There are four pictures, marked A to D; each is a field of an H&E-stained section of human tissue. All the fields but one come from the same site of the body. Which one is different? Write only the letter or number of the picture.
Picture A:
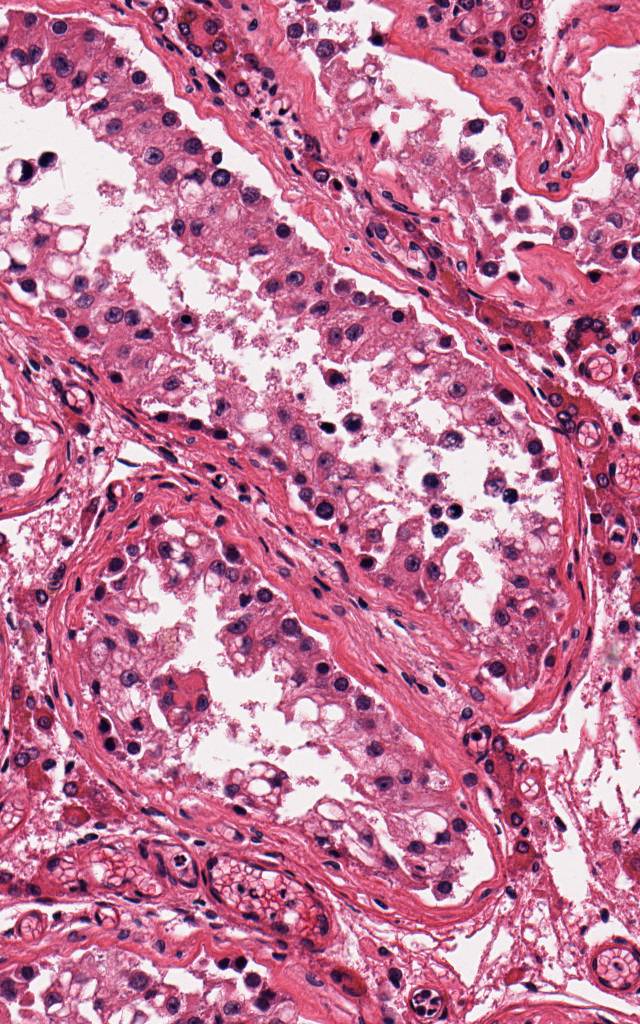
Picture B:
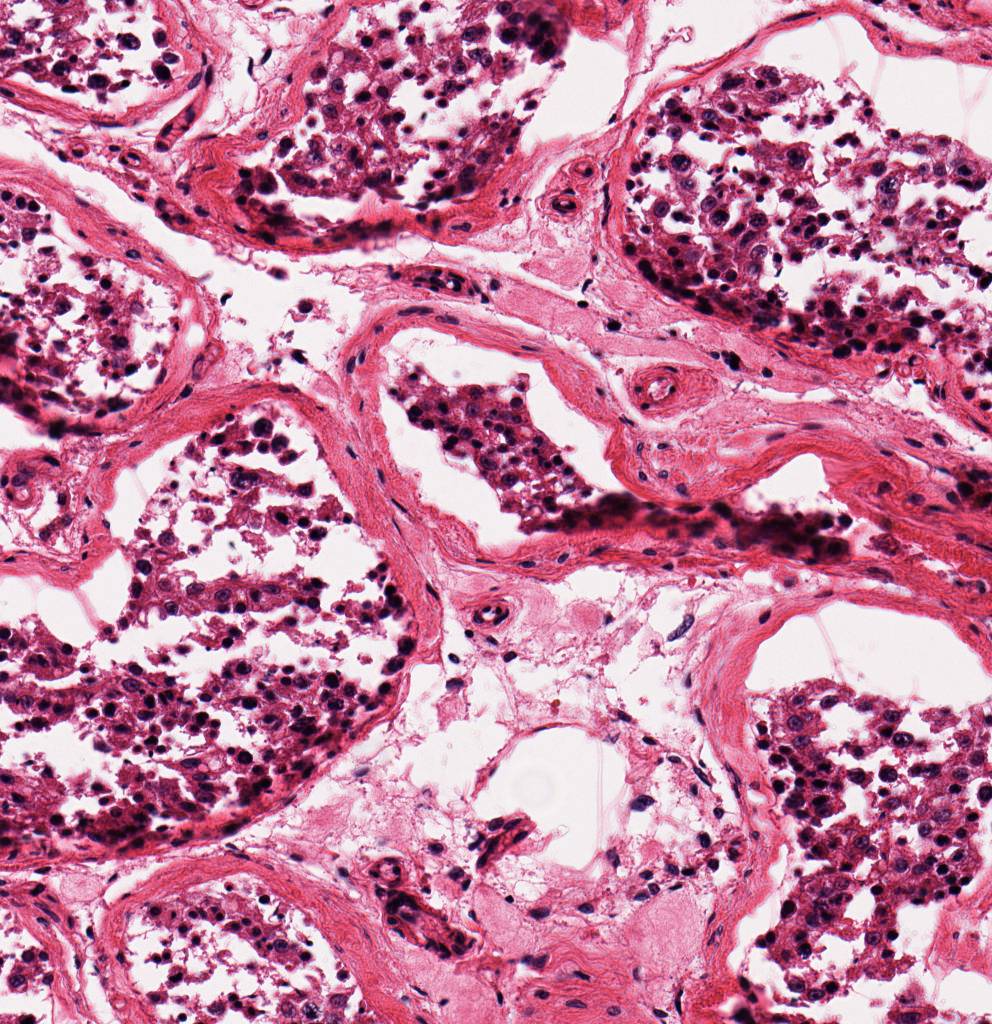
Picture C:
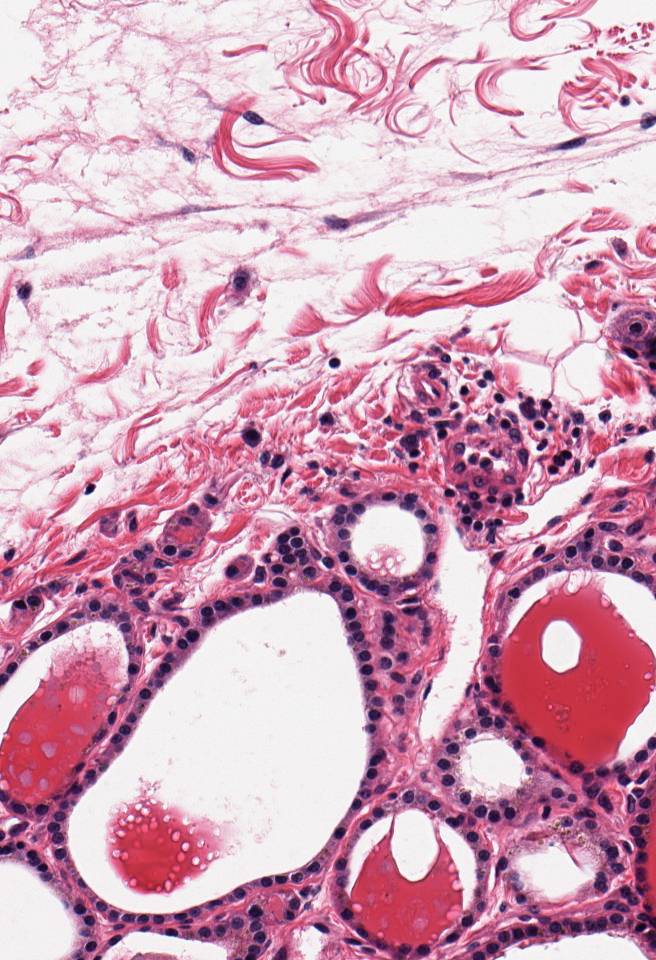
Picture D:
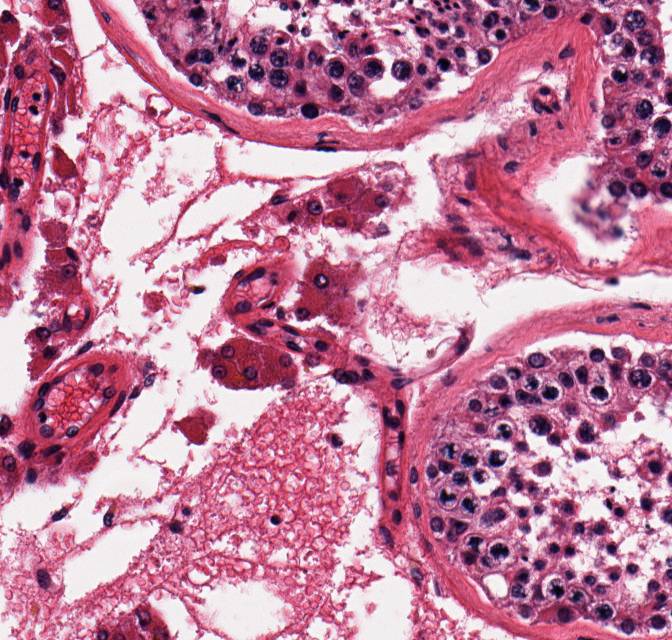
C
